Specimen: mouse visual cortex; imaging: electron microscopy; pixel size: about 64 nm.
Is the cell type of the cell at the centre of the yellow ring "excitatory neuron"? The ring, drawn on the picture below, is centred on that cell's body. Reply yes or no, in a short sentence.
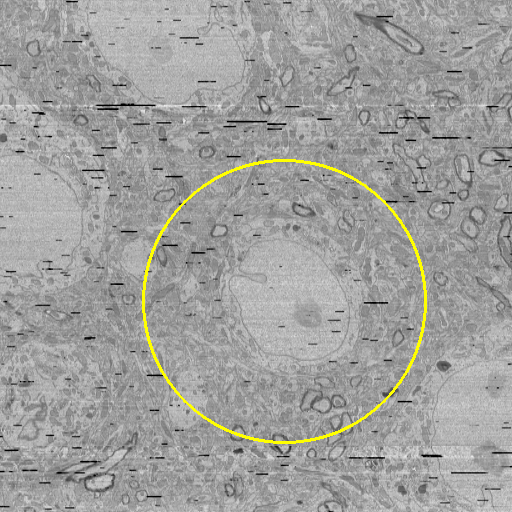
Yes, that is its cell type.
